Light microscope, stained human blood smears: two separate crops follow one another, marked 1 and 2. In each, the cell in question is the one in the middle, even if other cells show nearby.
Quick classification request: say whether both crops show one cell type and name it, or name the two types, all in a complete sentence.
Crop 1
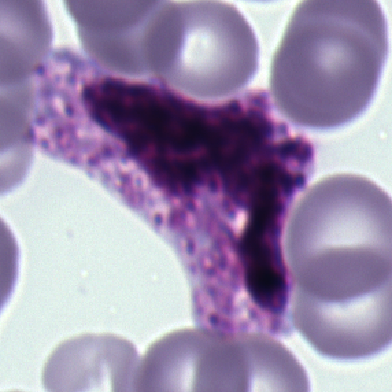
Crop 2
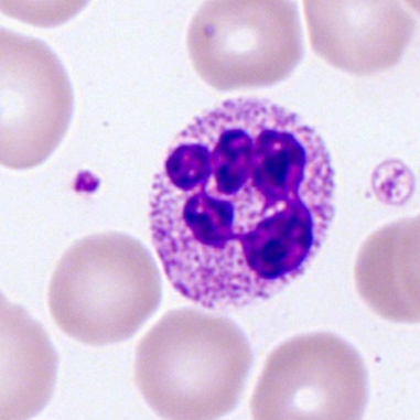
No, crop 1 carries a basophil at its centre, and crop 2 carries a segmented neutrophil.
